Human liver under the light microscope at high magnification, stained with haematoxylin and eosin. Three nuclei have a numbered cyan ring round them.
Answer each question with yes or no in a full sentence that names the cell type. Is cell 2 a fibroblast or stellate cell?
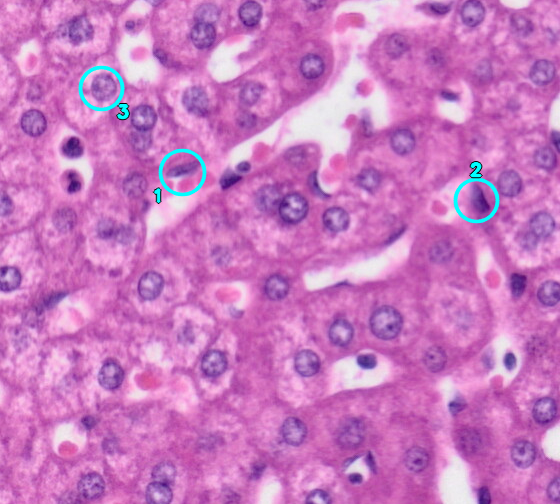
Yes, it is a fibroblast or stellate cell that carries the number 2.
